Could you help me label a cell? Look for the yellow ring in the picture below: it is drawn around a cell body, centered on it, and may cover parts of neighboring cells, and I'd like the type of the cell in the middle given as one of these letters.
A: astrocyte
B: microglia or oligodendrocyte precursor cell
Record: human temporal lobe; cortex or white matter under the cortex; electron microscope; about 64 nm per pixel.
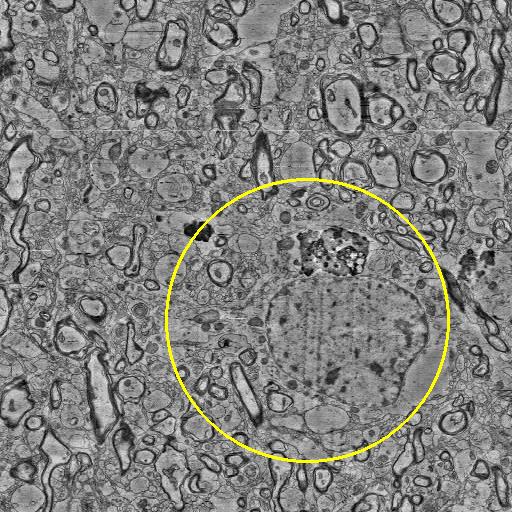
A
